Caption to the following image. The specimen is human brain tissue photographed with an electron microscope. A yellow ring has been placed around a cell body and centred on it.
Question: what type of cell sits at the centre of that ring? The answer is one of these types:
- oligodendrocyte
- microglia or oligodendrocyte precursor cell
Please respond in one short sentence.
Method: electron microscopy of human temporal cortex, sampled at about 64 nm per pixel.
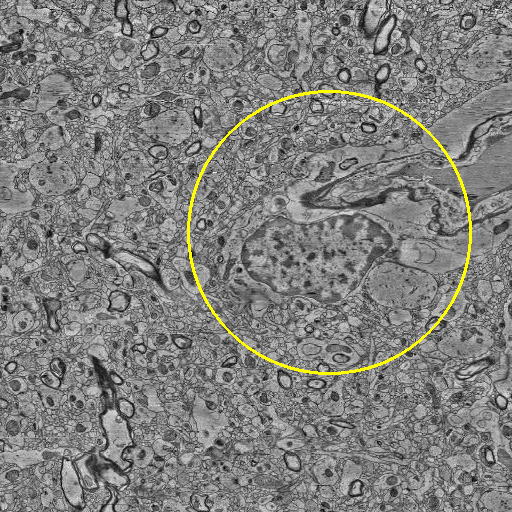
The ring surrounds the cell body of a microglial cell or oligodendrocyte precursor cell.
